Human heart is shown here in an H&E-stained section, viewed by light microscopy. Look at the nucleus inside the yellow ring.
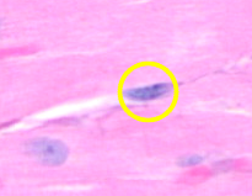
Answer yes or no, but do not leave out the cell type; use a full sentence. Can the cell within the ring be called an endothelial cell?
Yes, the cell within the ring is assigned the identity of an endothelial cell.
